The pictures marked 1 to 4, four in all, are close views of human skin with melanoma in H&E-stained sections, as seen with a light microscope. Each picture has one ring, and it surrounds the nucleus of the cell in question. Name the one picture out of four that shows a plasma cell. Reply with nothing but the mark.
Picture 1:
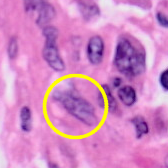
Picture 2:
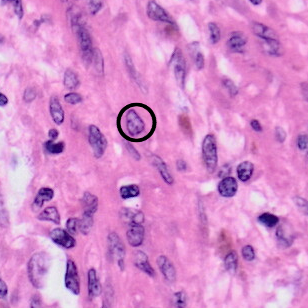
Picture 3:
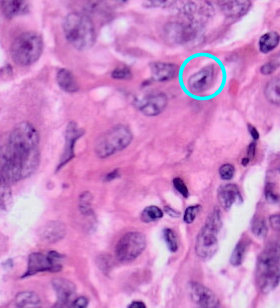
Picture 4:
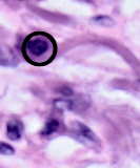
4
